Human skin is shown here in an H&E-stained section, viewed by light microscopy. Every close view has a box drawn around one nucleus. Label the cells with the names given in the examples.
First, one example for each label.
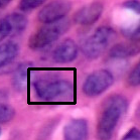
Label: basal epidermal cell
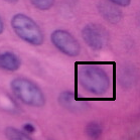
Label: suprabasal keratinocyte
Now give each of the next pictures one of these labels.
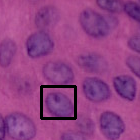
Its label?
suprabasal keratinocyte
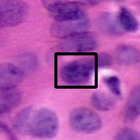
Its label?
basal epidermal cell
